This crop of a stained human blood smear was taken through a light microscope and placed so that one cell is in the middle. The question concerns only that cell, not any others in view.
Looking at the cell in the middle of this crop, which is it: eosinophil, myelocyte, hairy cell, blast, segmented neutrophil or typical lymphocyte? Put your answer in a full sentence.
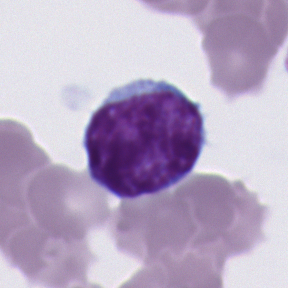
The cell featured at the centre of this crop is a typical lymphocyte.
